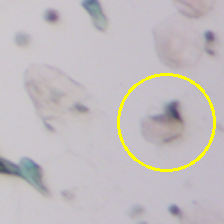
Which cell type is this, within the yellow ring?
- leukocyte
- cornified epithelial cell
Within the ring is a cornified epithelial cell.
